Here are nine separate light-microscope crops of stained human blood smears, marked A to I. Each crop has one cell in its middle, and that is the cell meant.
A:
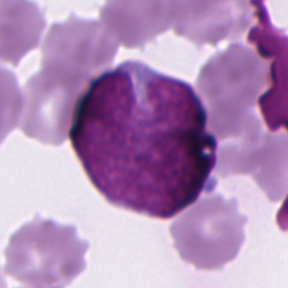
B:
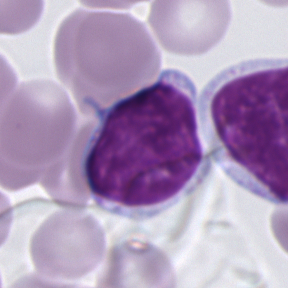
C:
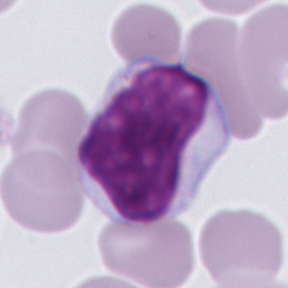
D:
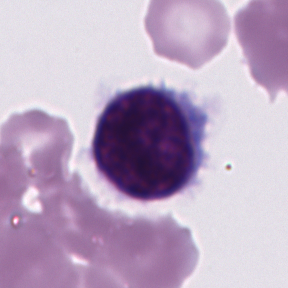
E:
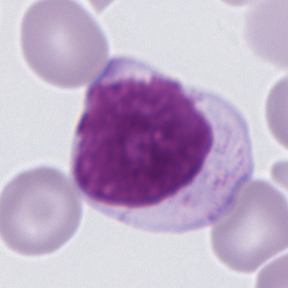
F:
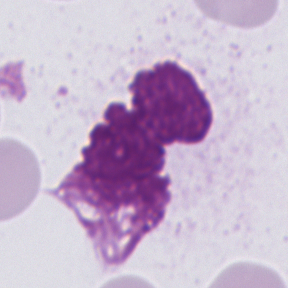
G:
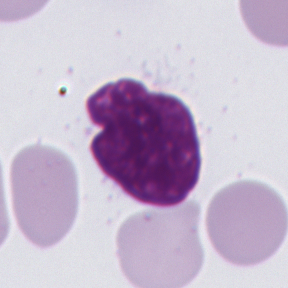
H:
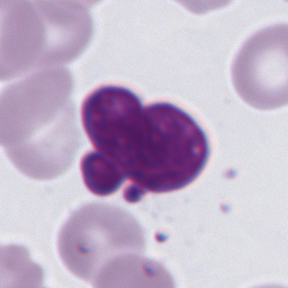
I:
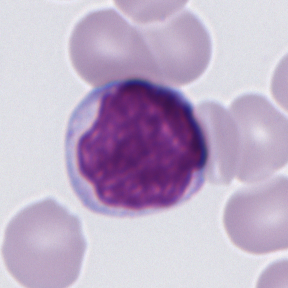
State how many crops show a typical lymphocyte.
0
